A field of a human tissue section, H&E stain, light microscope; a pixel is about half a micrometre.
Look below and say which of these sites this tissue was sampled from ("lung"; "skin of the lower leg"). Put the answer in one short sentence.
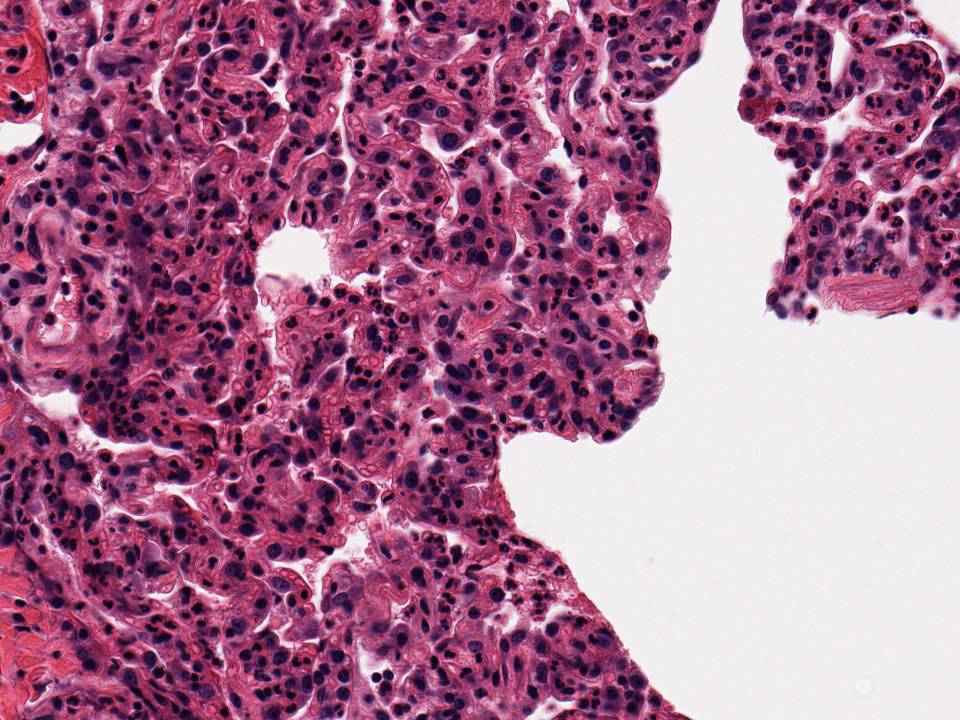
The site this tissue was sampled from is the lung.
